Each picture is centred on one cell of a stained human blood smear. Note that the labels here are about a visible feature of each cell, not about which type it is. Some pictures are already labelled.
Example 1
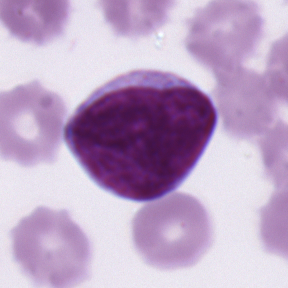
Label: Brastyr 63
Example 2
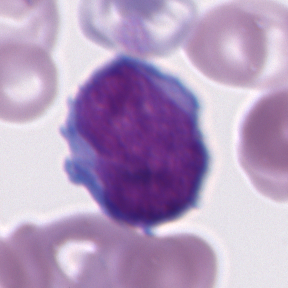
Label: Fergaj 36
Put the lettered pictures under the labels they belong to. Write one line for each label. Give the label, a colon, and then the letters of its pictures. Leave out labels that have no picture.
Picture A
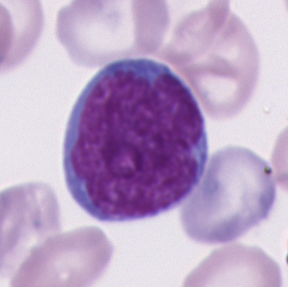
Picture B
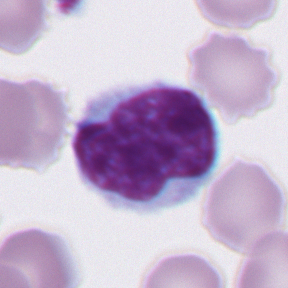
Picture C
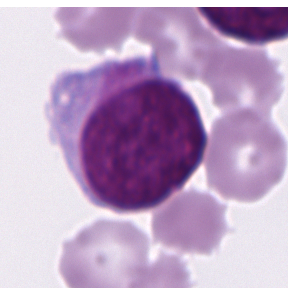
Brastyr 63: A, B
Fergaj 36: C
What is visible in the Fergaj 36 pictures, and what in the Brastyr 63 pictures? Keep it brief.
Seen in Fergaj 36: ragged outline or projections; seen in Brastyr 63: smooth outline.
